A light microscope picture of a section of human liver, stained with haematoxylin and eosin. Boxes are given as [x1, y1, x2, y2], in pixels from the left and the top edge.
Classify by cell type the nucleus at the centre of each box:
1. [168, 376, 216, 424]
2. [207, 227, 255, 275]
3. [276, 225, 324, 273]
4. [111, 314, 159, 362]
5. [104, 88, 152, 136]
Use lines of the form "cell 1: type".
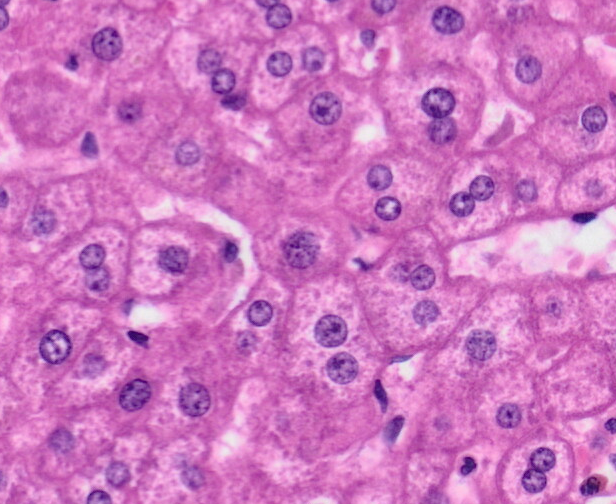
cell 1: hepatocyte
cell 2: Kupffer cell
cell 3: hepatocyte
cell 4: fibroblast or stellate cell
cell 5: hepatocyte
